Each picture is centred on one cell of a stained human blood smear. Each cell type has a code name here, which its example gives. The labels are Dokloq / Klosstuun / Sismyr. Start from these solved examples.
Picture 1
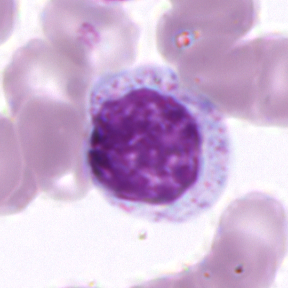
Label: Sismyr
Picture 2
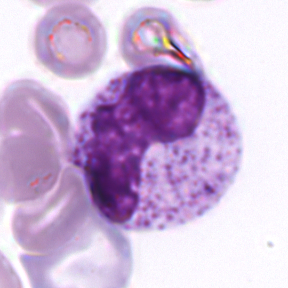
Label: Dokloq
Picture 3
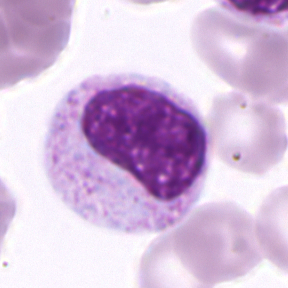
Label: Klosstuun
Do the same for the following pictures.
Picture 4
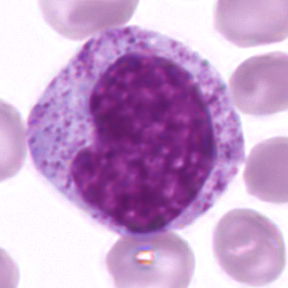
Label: Sismyr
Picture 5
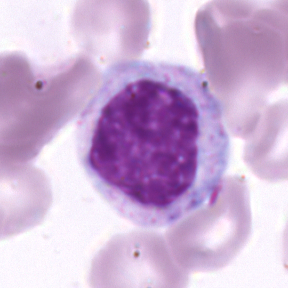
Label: Sismyr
